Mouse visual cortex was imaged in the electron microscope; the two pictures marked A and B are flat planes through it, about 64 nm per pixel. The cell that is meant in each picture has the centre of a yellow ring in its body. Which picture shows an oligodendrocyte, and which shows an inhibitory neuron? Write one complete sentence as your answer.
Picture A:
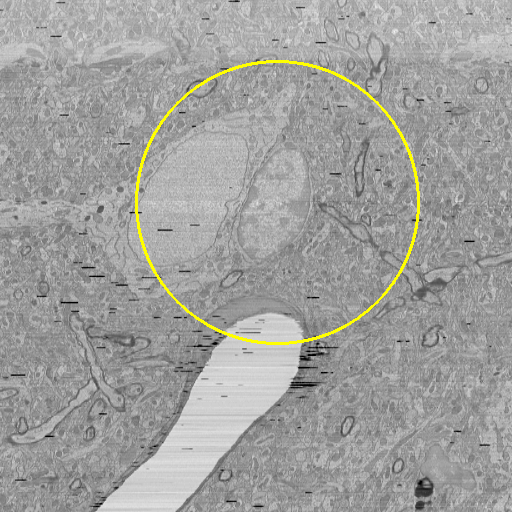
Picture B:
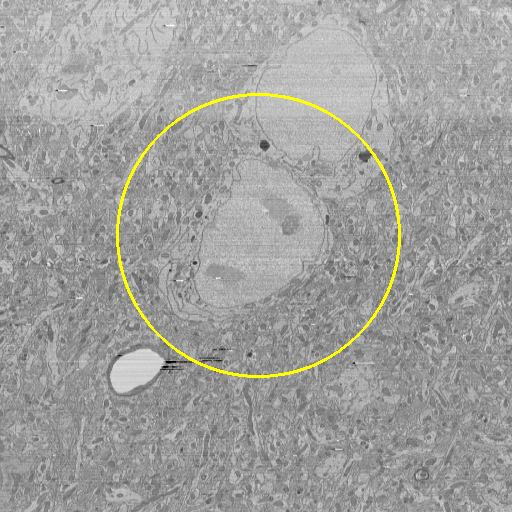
Picture A shows an oligodendrocyte and picture B shows an inhibitory neuron.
